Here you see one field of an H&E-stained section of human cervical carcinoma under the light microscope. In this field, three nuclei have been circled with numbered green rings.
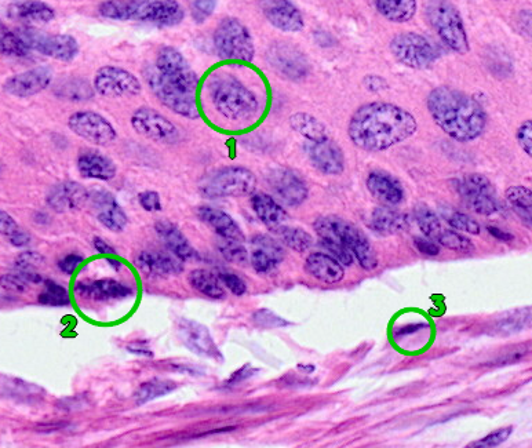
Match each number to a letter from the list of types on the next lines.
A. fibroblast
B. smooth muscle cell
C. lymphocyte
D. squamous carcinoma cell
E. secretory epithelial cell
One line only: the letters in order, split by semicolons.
D; D; A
